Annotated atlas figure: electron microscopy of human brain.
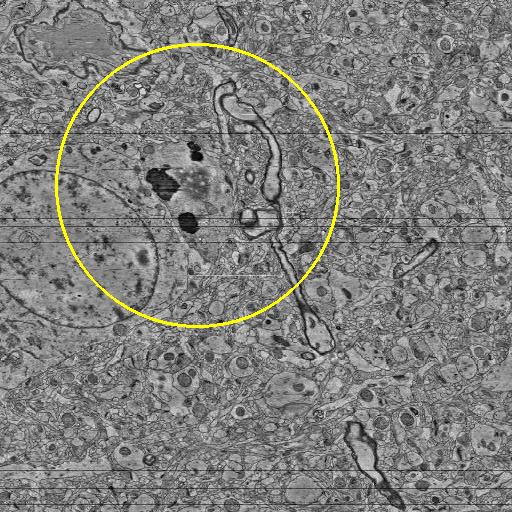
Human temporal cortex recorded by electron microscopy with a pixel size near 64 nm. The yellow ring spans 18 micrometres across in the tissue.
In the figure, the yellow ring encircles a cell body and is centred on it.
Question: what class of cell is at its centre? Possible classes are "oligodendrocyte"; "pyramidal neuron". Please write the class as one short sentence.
The yellow ring is drawn around an oligodendrocyte.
